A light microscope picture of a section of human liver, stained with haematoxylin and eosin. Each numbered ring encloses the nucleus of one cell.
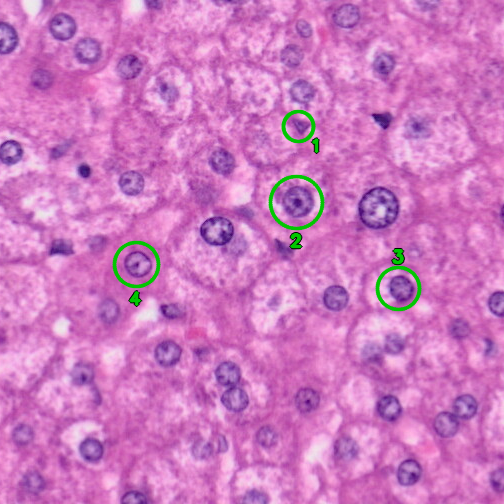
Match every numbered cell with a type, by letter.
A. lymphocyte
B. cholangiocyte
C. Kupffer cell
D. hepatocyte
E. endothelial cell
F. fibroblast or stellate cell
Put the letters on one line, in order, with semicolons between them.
E; D; D; D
